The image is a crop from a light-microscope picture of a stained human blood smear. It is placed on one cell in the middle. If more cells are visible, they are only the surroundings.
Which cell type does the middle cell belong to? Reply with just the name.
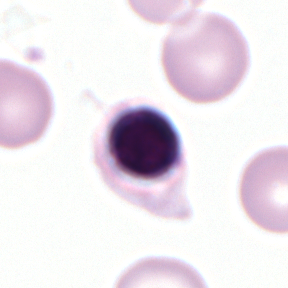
normoblast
